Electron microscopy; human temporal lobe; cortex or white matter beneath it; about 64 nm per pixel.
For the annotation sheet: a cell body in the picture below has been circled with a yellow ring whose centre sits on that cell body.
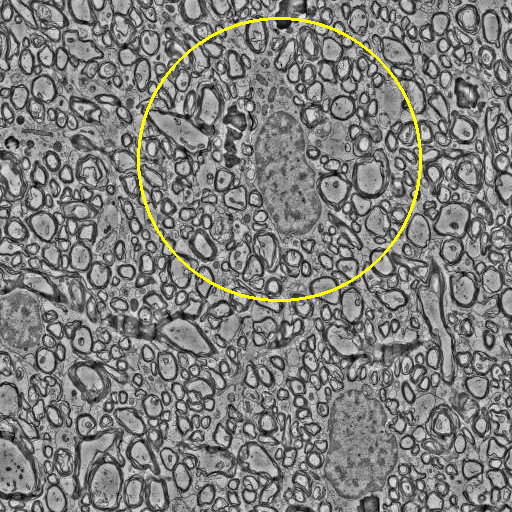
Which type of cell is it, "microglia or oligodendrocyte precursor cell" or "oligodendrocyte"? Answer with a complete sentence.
The circled cell is an oligodendrocyte.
